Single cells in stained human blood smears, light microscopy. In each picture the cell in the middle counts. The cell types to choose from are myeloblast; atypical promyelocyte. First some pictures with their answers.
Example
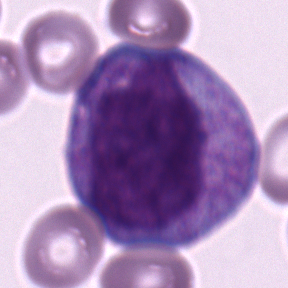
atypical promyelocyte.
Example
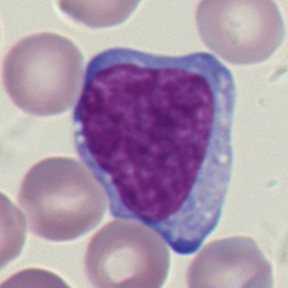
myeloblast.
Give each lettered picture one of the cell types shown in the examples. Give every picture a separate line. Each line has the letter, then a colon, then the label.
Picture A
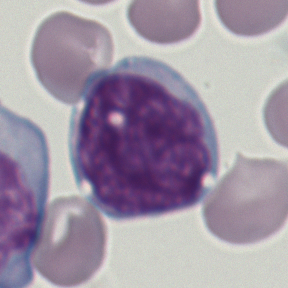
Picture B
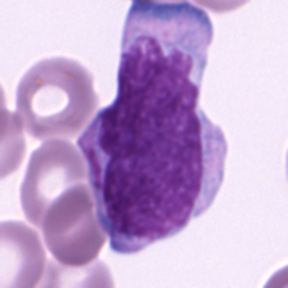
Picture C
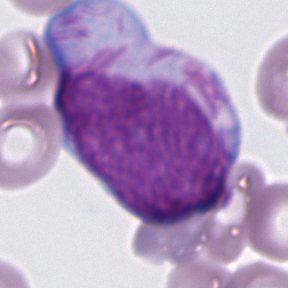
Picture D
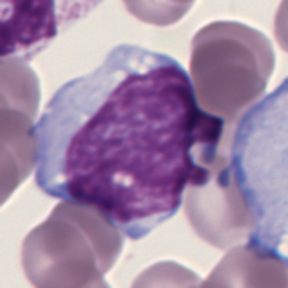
A: myeloblast.
B: atypical promyelocyte.
C: atypical promyelocyte.
D: myeloblast.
